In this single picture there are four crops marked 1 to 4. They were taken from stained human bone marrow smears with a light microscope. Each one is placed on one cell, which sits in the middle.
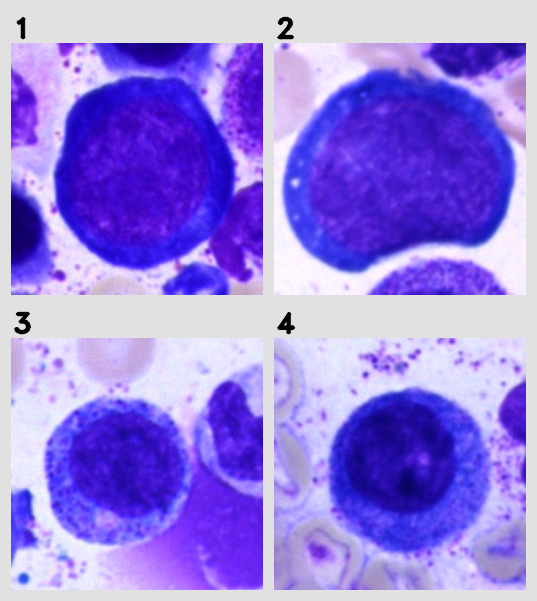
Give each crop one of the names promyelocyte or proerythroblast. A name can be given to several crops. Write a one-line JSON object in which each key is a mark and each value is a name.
{"1": "proerythroblast", "2": "proerythroblast", "3": "promyelocyte", "4": "promyelocyte"}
